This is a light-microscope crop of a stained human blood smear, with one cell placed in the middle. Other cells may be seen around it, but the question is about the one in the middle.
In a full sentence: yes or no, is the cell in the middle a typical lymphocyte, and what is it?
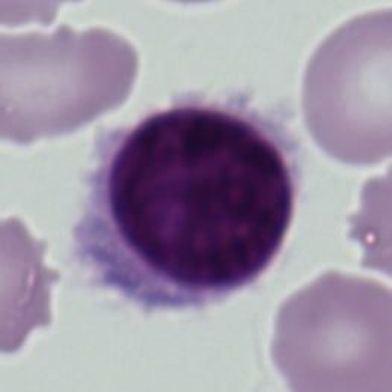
No, not a typical lymphocyte: the cell in the middle of this crop is a hairy cell.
